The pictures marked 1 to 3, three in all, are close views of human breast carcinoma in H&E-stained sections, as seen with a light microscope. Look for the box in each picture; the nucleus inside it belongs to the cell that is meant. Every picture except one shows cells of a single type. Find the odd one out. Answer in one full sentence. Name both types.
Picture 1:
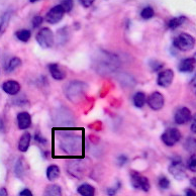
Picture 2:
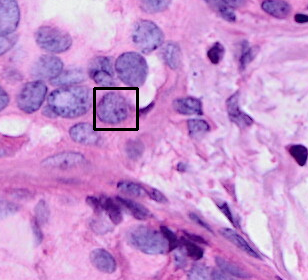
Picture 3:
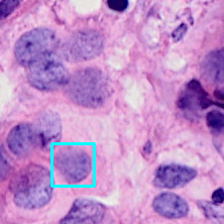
The different one is picture 1; it shows an endothelial cell, whereas all the others show carcinoma cells.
